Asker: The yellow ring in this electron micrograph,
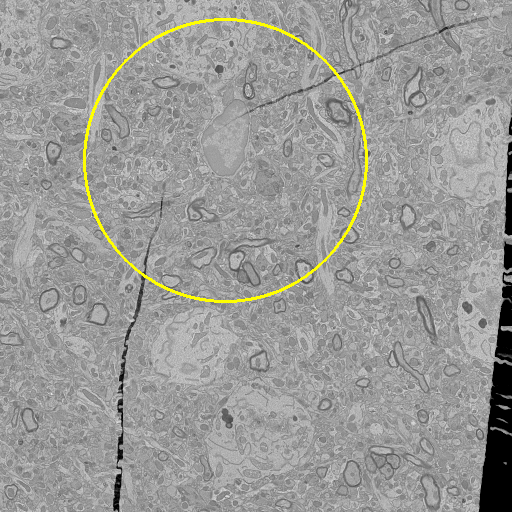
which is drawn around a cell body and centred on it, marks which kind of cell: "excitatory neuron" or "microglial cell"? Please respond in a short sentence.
The marked cell is a microglial cell.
